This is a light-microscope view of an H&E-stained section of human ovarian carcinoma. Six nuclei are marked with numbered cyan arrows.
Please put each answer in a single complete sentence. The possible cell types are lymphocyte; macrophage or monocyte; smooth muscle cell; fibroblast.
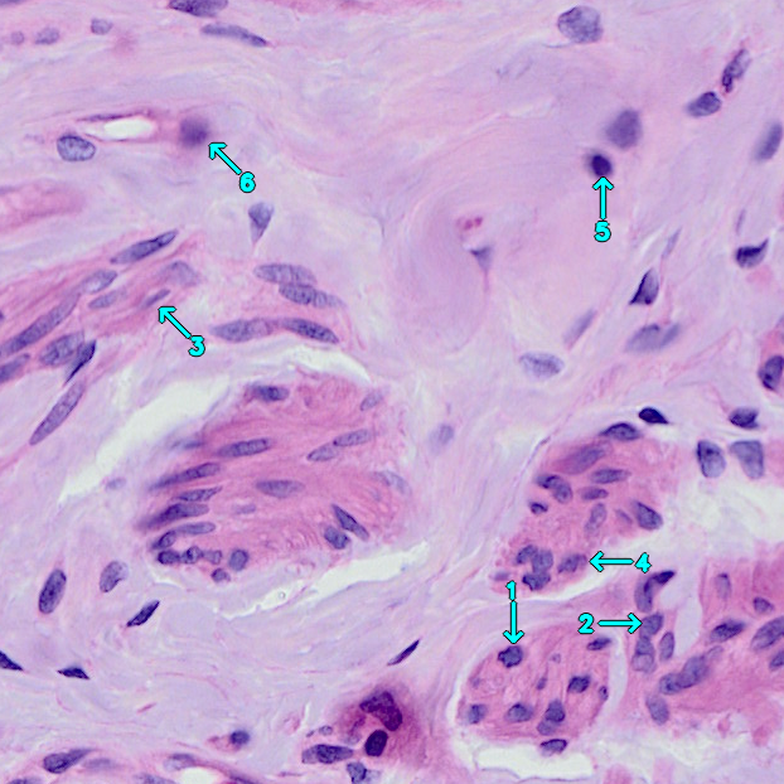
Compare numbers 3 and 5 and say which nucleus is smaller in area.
With nucleus 5 about 2.5 times its size, nucleus 3 is the smaller of the two.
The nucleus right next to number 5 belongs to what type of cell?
The nearest nucleus to number 5 belongs to a fibroblast.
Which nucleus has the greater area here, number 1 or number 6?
It is nucleus 6, which covers about 2 times the area of nucleus 1.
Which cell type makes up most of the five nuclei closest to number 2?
Smooth muscle cells make up most of the five nuclei closest to number 2.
